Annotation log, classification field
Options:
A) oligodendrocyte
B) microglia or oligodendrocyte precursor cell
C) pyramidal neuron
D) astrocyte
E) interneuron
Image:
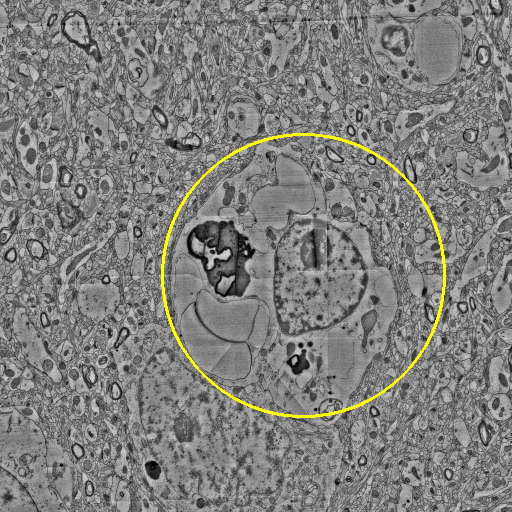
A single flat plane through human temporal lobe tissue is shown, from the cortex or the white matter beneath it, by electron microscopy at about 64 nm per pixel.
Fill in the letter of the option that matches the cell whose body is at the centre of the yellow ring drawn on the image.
D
